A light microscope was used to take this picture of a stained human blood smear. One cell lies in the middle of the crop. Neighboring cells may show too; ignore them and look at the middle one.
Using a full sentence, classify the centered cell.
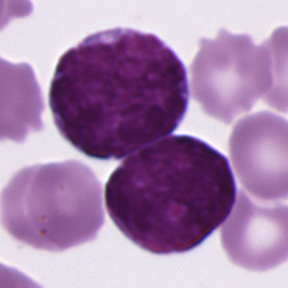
The cell at the centre of the field is a blast.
